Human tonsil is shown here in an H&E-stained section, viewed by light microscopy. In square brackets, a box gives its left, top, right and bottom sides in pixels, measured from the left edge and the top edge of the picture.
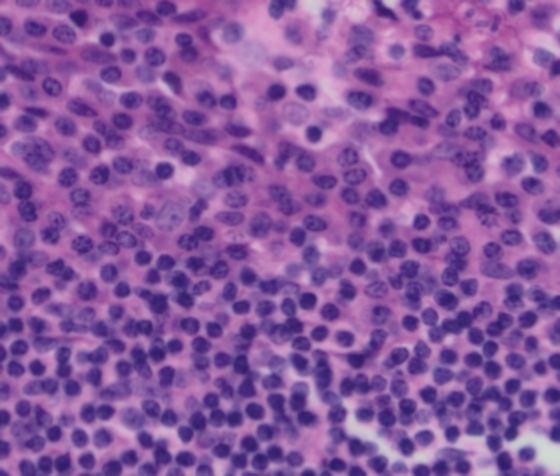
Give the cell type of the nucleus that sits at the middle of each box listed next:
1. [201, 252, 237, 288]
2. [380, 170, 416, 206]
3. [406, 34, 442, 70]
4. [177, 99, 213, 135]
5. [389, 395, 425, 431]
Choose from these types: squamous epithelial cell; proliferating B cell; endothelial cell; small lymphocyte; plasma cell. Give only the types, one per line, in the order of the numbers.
plasma cell
plasma cell
squamous epithelial cell
plasma cell
small lymphocyte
